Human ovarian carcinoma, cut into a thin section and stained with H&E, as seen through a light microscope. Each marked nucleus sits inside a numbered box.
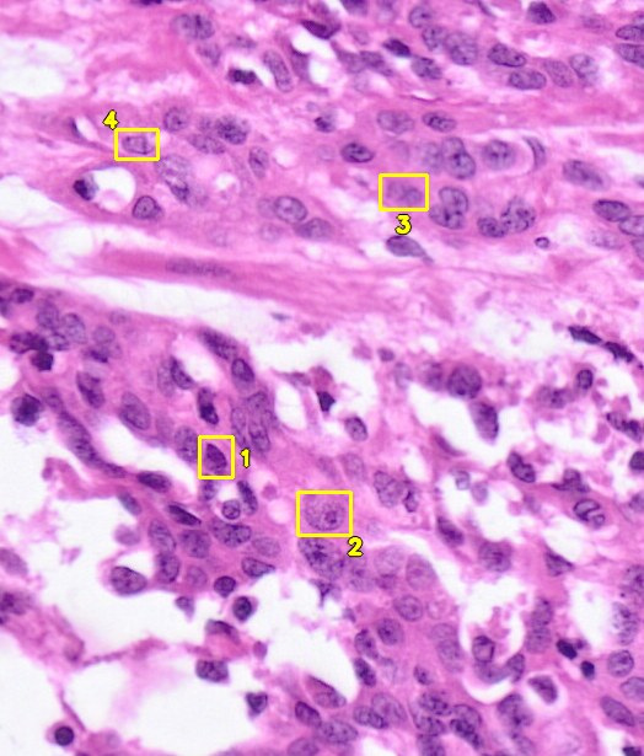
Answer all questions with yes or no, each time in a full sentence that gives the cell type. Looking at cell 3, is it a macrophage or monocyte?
No, sorry, the cell labelled 3 is not a macrophage or monocyte; it is a carcinoma cell.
